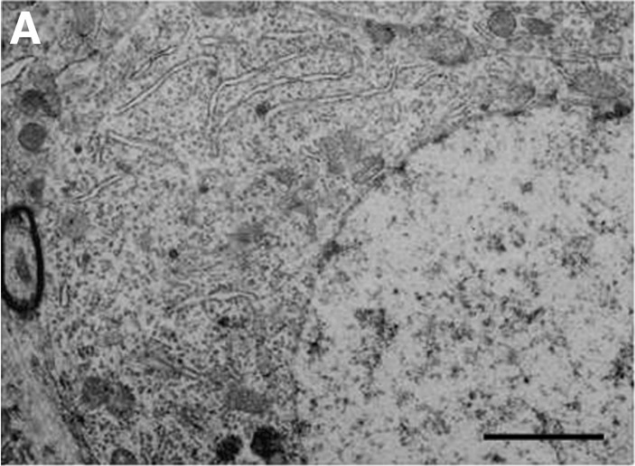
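Part of a neuron, showing a large nucleus and the adjacent cytoplasm. The nucleus is pale, with finely granular chromatin spread evenly throughout and no dense clumps; the nuclear envelope curves across the field. The cytoplasm is packed with parallel and curving cisternae of rough endoplasmic reticulum and many free ribosomes, with scattered mitochondria near the edges. At the left margin a myelinated axon is seen in cross section as a dark ring around a paler core. The cell appears intact, without vacuoles or swollen organelles.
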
